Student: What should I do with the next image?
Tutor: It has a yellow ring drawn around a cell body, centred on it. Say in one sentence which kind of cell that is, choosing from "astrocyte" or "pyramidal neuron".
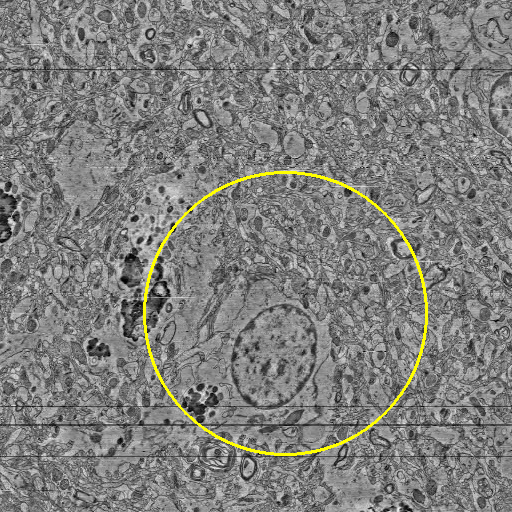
The ring's centre is occupied by an astrocyte.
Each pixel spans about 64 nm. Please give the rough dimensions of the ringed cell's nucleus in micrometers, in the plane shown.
In this plane, roughly 7 by 5 micrometres.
